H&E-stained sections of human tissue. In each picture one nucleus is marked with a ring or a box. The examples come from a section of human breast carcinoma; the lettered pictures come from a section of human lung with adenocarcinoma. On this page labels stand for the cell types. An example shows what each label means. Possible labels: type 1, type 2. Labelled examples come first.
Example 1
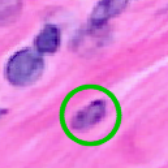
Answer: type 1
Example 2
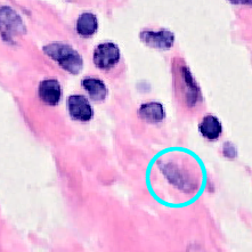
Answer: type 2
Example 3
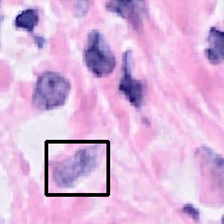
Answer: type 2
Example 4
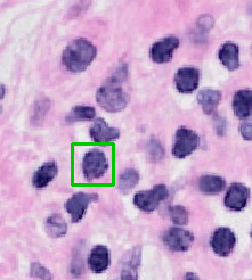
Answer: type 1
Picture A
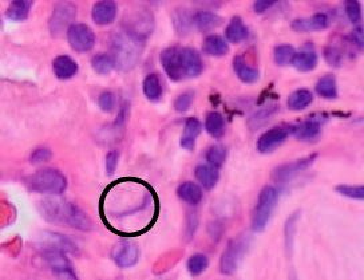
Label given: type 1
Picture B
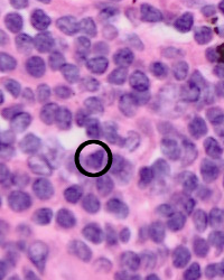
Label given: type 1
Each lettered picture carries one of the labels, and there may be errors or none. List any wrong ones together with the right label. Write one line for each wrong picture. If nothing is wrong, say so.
A is labelled type 1; correct label: type 2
